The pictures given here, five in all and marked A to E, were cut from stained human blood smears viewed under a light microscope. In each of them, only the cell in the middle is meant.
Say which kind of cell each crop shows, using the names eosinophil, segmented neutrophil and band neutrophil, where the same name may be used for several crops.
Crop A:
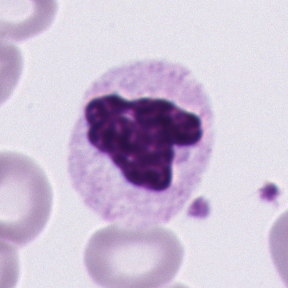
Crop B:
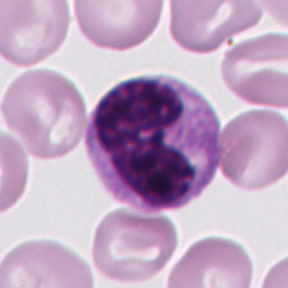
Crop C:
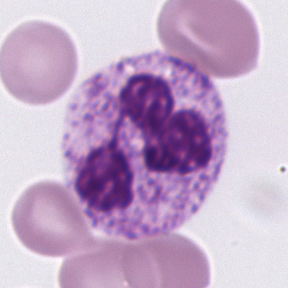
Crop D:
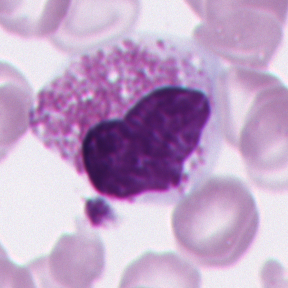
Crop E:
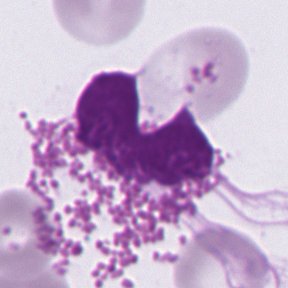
A: segmented neutrophil
B: band neutrophil
C: segmented neutrophil
D: eosinophil
E: eosinophil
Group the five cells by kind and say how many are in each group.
segmented neutrophil: 2
eosinophil: 2
band neutrophil: 1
